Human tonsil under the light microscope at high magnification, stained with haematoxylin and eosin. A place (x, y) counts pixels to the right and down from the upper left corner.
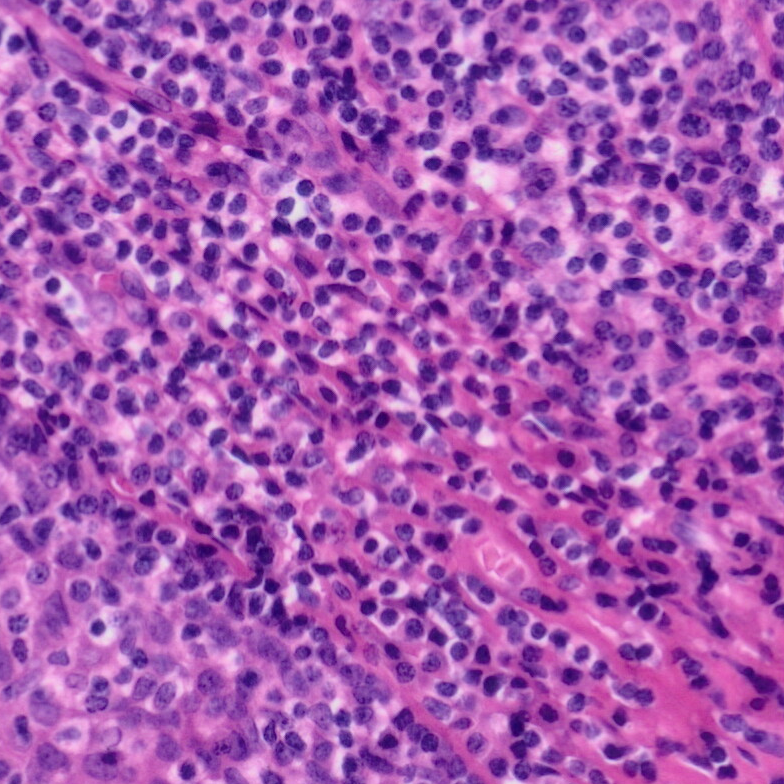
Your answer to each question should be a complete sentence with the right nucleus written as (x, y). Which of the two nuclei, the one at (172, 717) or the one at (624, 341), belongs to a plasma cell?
Among the two nuclei, the one found at (624, 341) belongs to a plasma cell.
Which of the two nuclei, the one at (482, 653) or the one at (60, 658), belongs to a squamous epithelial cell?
Of the two, the nucleus lying at (60, 658) is the one belonging to a squamous epithelial cell.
